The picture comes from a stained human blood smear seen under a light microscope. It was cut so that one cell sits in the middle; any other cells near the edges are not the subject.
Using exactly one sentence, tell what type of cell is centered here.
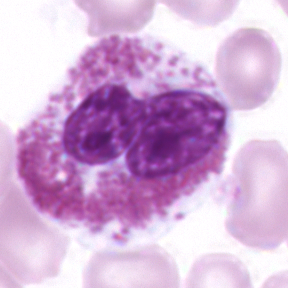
Centrally within this crop lies an eosinophil.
